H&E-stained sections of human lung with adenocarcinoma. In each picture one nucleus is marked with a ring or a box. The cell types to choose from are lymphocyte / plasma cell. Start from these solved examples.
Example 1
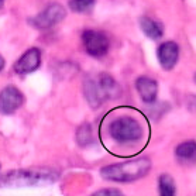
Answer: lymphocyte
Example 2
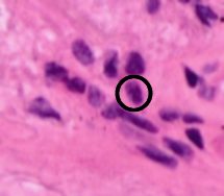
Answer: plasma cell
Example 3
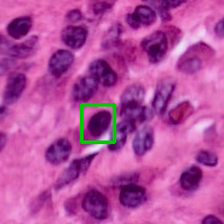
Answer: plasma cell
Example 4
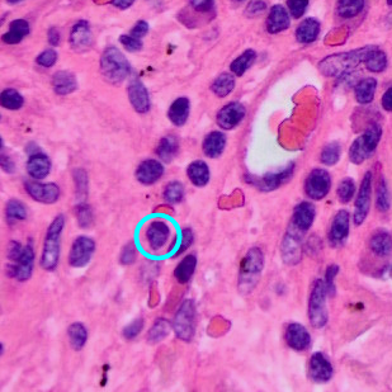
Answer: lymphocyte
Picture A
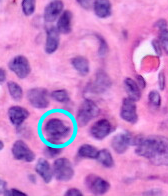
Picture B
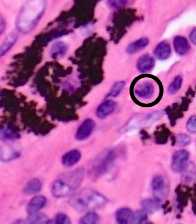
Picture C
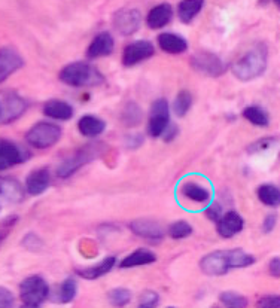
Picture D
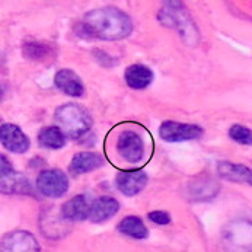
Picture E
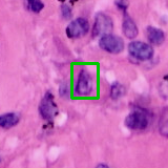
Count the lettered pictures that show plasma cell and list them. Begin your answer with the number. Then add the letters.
1: E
